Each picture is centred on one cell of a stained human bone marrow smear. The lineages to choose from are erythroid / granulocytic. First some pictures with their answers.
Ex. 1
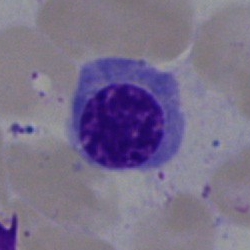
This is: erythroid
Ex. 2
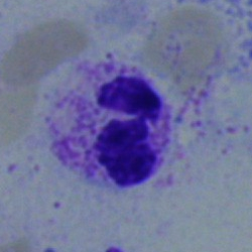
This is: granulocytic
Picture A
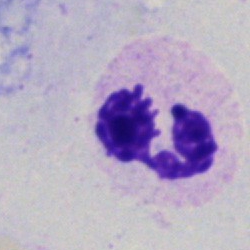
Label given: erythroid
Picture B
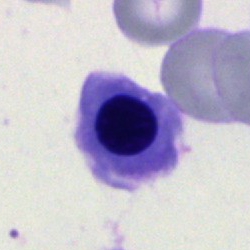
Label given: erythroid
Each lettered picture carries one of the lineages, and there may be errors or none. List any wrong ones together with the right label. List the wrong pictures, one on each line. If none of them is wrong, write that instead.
A: granulocytic, not erythroid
